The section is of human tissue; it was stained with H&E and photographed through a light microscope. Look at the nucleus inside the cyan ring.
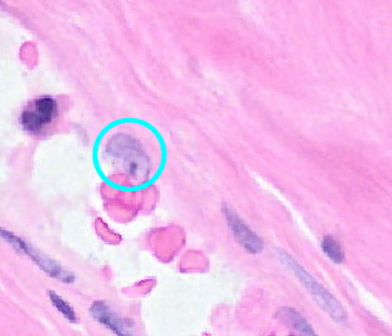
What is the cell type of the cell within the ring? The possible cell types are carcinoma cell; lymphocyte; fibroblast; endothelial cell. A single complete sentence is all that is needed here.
In this section of tissue, the cell within the ring is an endothelial cell.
